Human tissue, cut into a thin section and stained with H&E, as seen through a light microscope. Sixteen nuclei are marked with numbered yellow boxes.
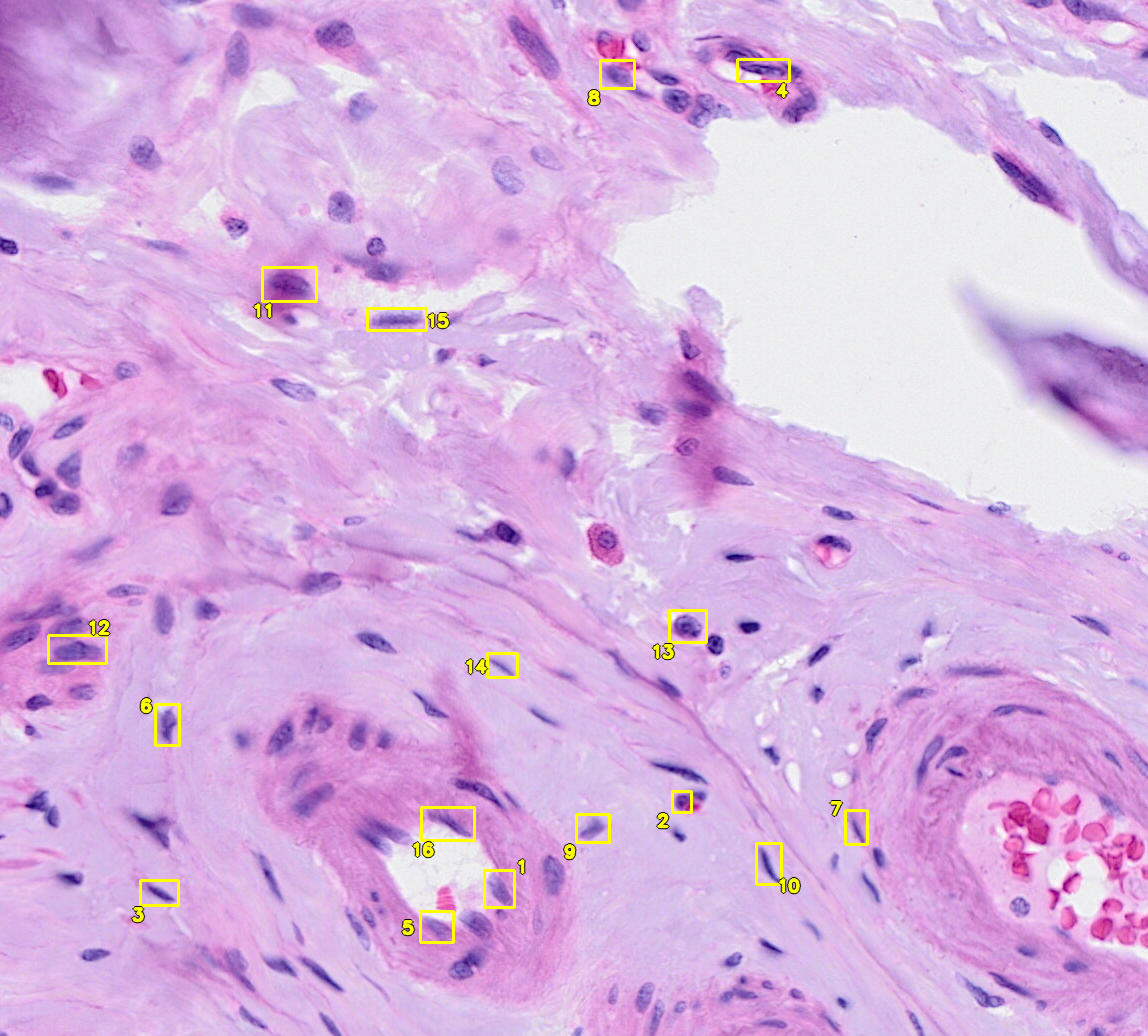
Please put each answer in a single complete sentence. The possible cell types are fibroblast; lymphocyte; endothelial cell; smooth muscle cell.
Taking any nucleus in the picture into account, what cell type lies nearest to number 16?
The cell nearest to number 16 is a smooth muscle cell.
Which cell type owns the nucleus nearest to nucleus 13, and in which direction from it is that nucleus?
Lying below and to the right of nucleus 13, the nearest nucleus is that of a lymphocyte.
